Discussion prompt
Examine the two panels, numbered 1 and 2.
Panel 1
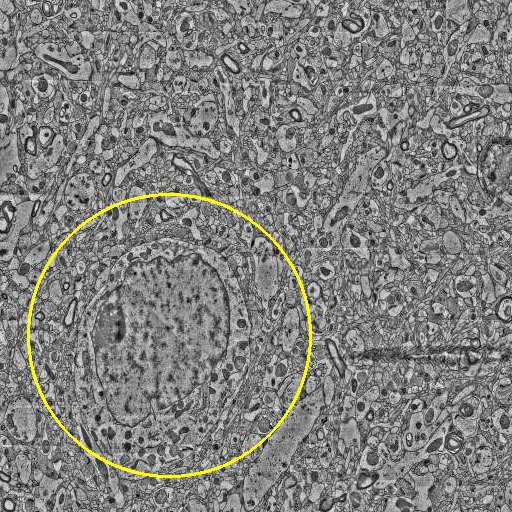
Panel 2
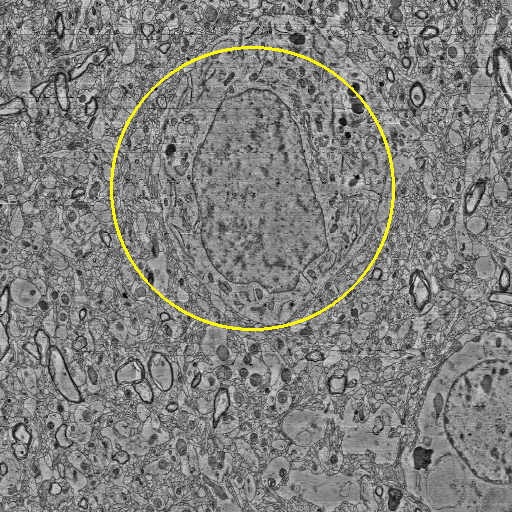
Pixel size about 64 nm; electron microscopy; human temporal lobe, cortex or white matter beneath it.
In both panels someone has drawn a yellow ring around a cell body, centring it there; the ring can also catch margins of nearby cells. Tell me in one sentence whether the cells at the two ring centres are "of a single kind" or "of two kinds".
Taken together, the two cells centred in the rings of Panels 1 and 2 are of a single kind.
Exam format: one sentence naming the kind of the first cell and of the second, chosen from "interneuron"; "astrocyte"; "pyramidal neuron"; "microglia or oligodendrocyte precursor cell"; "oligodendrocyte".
The first and the second cell are each an interneuron.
